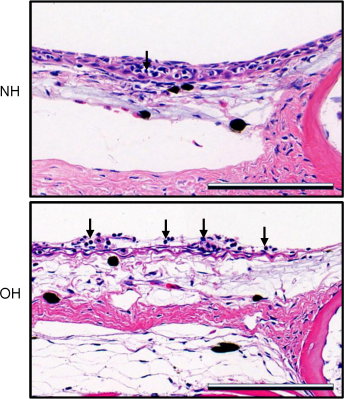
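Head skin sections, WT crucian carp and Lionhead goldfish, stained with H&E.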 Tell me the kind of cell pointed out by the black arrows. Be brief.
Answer: Inflammatory cell.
